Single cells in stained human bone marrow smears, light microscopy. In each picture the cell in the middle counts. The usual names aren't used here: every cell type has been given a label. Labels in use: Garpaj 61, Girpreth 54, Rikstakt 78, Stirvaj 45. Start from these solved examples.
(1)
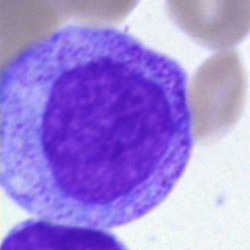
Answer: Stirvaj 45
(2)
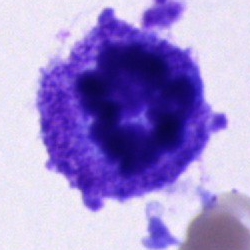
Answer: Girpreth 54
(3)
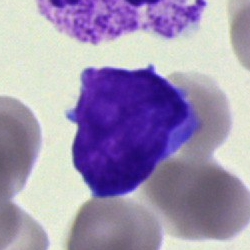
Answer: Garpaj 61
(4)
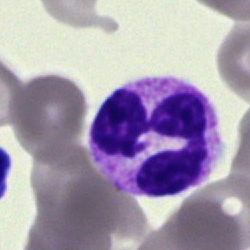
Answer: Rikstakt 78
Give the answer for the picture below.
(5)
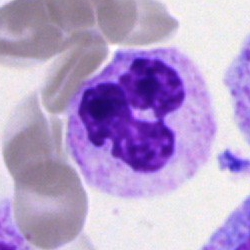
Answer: Rikstakt 78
